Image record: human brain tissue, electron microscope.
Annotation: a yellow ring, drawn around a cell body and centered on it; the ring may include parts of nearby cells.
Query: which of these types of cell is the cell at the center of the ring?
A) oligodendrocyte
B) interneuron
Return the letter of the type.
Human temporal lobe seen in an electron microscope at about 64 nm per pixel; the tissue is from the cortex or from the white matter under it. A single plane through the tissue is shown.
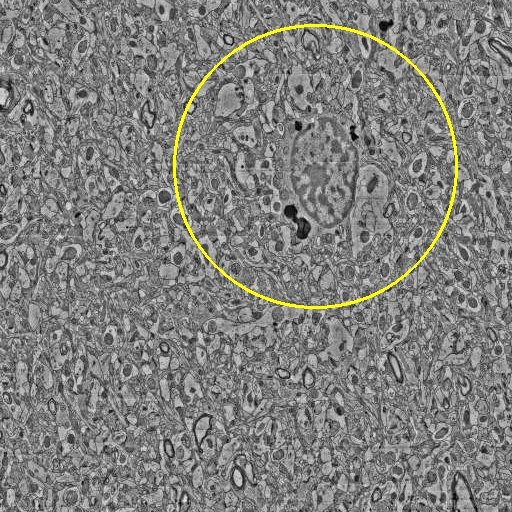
A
